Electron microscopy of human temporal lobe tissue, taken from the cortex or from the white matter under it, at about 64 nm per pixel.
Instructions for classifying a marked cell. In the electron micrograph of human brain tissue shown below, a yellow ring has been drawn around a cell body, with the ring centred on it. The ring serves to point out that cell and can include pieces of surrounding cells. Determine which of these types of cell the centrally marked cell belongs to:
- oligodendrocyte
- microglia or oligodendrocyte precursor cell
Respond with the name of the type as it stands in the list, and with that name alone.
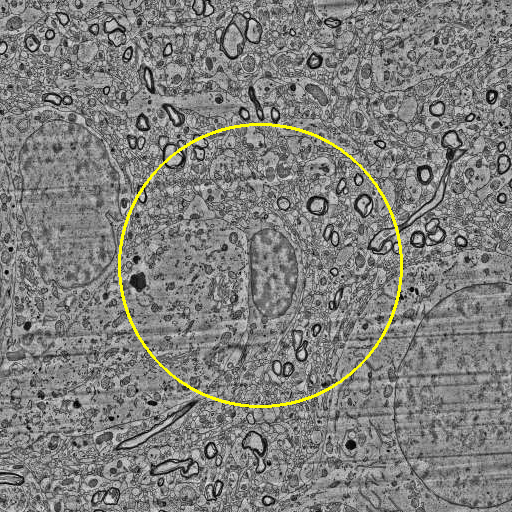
oligodendrocyte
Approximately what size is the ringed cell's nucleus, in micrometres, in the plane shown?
The nucleus measures about 6 by 3 micrometres, so it is clearly longer than it is wide in this plane.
